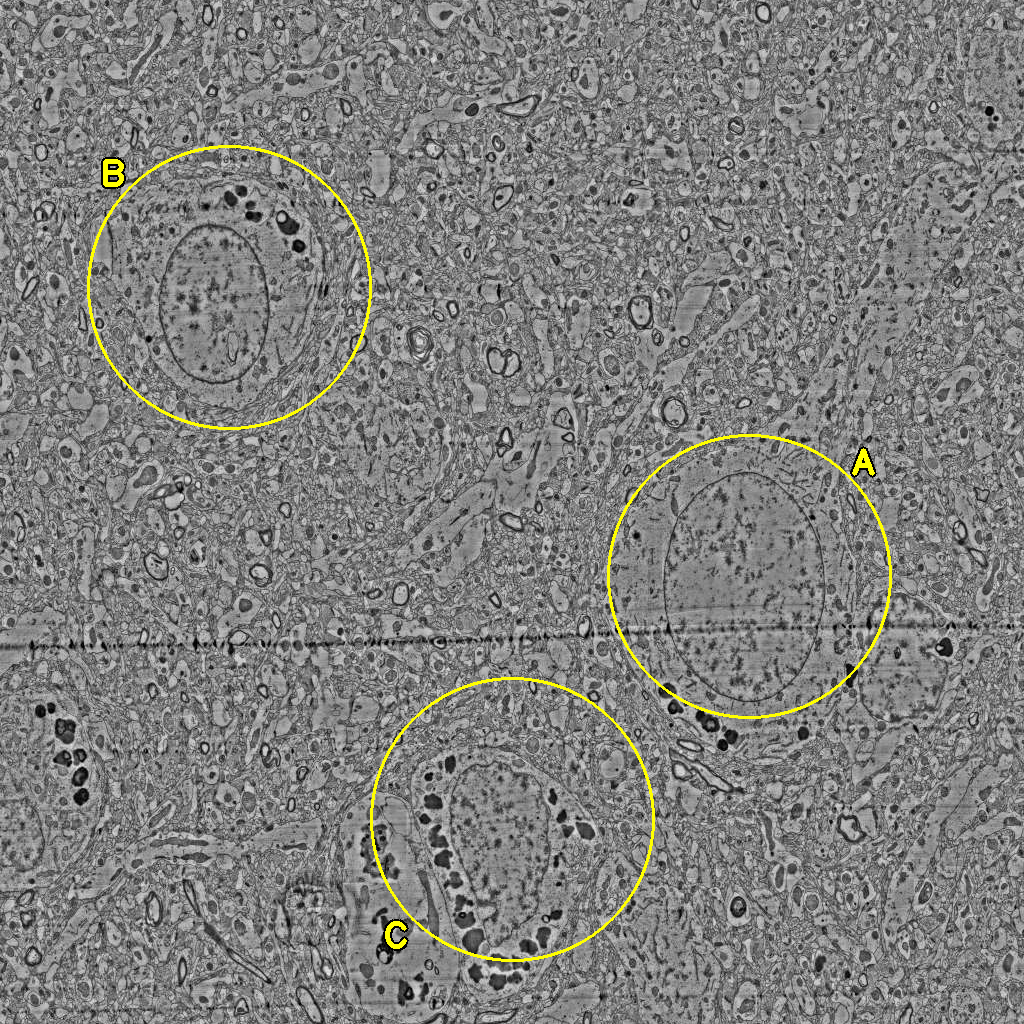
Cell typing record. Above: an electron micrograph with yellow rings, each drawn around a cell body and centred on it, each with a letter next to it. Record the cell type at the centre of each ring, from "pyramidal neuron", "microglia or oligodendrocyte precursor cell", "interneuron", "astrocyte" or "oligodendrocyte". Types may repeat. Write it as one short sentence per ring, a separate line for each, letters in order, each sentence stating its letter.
Ring A circles a pyramidal neuron.
Ring B circles a pyramidal neuron.
Ring C circles an interneuron.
